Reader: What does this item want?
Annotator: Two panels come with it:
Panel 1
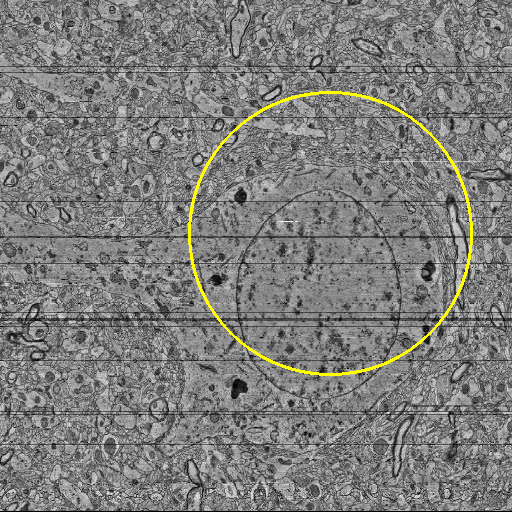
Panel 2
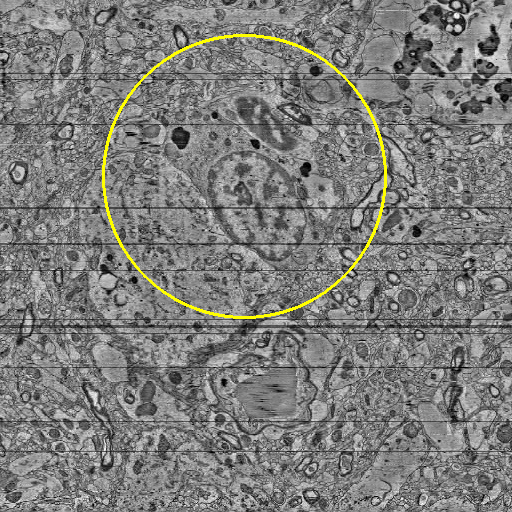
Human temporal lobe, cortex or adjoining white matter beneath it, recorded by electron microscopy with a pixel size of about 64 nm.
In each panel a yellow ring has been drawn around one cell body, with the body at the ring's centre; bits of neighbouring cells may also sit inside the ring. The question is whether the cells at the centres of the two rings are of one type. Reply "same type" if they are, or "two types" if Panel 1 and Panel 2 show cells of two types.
two types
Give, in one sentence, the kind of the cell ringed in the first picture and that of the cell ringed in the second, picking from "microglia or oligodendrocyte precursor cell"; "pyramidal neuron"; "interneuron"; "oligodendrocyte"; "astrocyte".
For the first picture it is a pyramidal neuron; for the second, an oligodendrocyte.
